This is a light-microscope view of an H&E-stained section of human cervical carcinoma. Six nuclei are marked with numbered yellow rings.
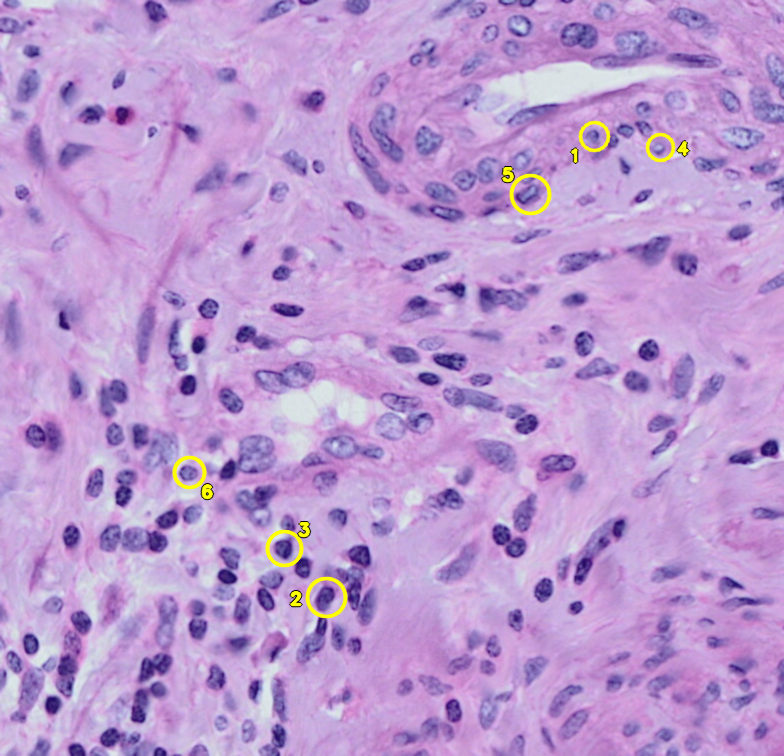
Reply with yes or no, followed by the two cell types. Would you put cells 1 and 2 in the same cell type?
No, classify cell 1 as a smooth muscle cell and cell 2 as a lymphocyte.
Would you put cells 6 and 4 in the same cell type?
No, cell 6 is a lymphocyte and cell 4 is a smooth muscle cell.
